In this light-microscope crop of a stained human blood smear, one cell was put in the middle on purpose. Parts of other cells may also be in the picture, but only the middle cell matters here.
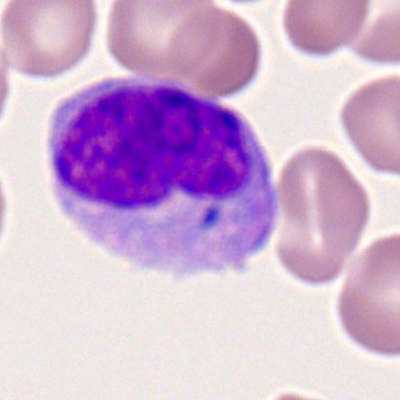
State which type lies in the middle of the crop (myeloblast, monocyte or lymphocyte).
monocyte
